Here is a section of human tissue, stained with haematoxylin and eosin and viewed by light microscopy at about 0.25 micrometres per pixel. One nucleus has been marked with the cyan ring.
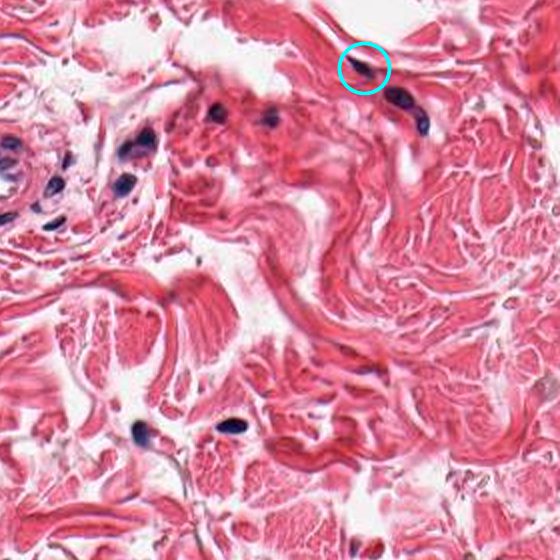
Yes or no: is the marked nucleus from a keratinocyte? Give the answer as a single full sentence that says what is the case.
No, the marked nucleus is not housed in a keratinocyte but in a supporting cell.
